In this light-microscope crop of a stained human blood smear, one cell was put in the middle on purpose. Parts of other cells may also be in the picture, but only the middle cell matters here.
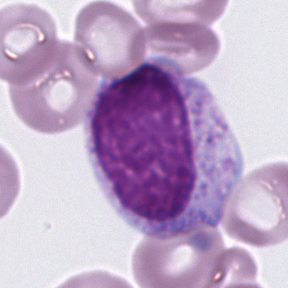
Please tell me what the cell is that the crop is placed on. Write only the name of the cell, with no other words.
myelocyte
